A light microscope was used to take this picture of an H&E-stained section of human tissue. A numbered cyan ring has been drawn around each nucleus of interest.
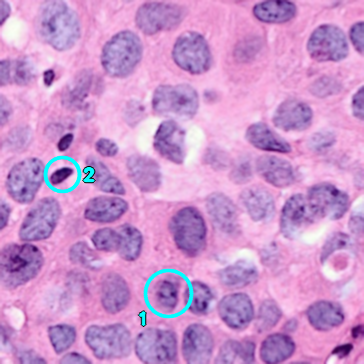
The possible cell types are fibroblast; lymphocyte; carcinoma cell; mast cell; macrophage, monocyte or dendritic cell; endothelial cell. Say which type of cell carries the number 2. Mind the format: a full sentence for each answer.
The marked cell with the number 2 is recognised as a lymphocyte.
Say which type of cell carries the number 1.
The cell with the number 1 is a carcinoma cell.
